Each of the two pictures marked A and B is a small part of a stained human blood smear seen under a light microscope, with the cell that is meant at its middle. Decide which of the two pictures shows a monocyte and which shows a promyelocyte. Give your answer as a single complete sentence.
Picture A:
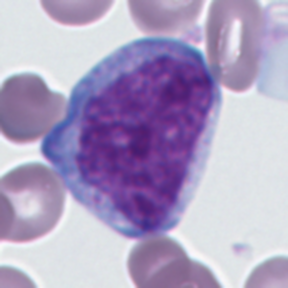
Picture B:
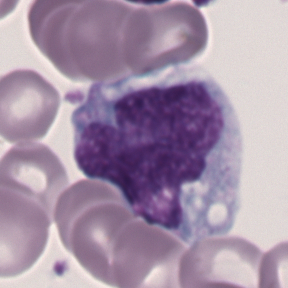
Picture B shows a monocyte, while picture A shows a promyelocyte.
